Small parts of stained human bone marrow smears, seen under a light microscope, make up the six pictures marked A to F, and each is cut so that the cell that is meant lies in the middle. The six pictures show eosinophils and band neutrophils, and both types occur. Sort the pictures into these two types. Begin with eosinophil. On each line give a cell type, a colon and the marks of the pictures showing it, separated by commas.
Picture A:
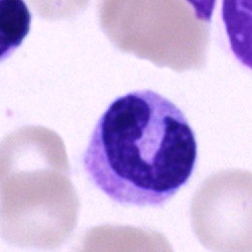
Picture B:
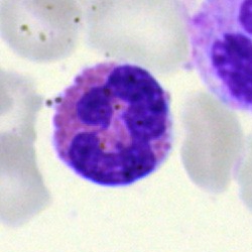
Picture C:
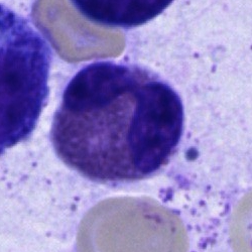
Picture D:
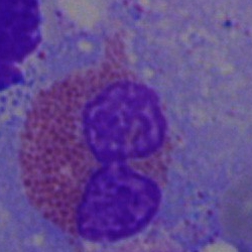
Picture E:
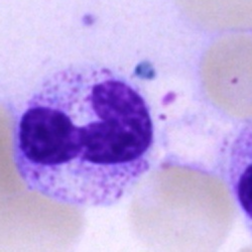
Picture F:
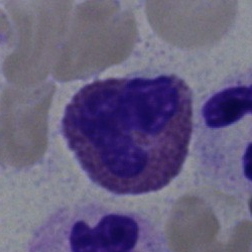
eosinophil: B, C, D, F
band neutrophil: A, E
